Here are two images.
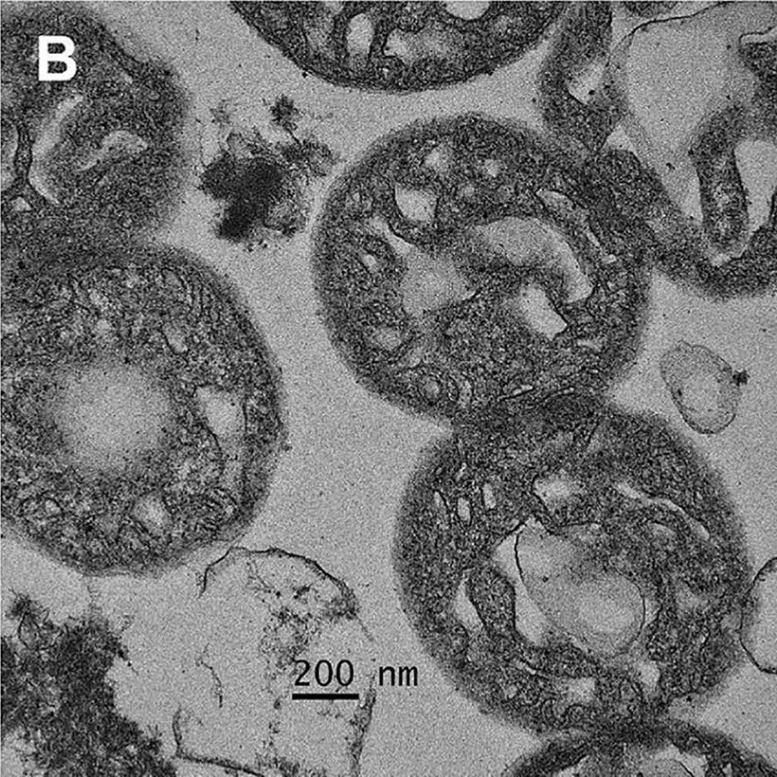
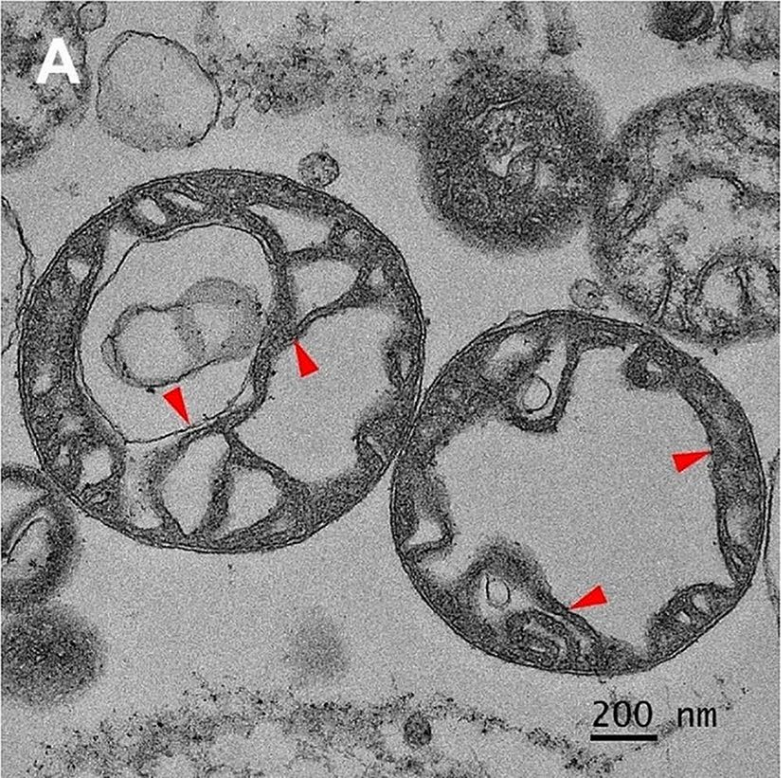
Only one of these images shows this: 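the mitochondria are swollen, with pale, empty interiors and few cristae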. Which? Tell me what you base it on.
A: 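First image: the round organelles are filled with dense granular material and many closely packed membrane folds, with only small pale gaps. Second image: the round organelles have large clear central spaces, and their membrane folds are sparse and pushed to the rim.
Conclusion: the second image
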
